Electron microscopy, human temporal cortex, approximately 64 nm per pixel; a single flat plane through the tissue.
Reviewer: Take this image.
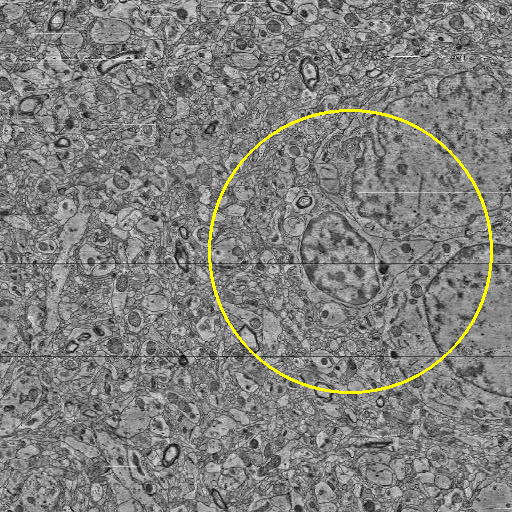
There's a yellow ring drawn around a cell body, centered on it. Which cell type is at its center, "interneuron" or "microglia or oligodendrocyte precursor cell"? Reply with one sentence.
At the center of the yellow ring is a microglial cell or oligodendrocyte precursor cell.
